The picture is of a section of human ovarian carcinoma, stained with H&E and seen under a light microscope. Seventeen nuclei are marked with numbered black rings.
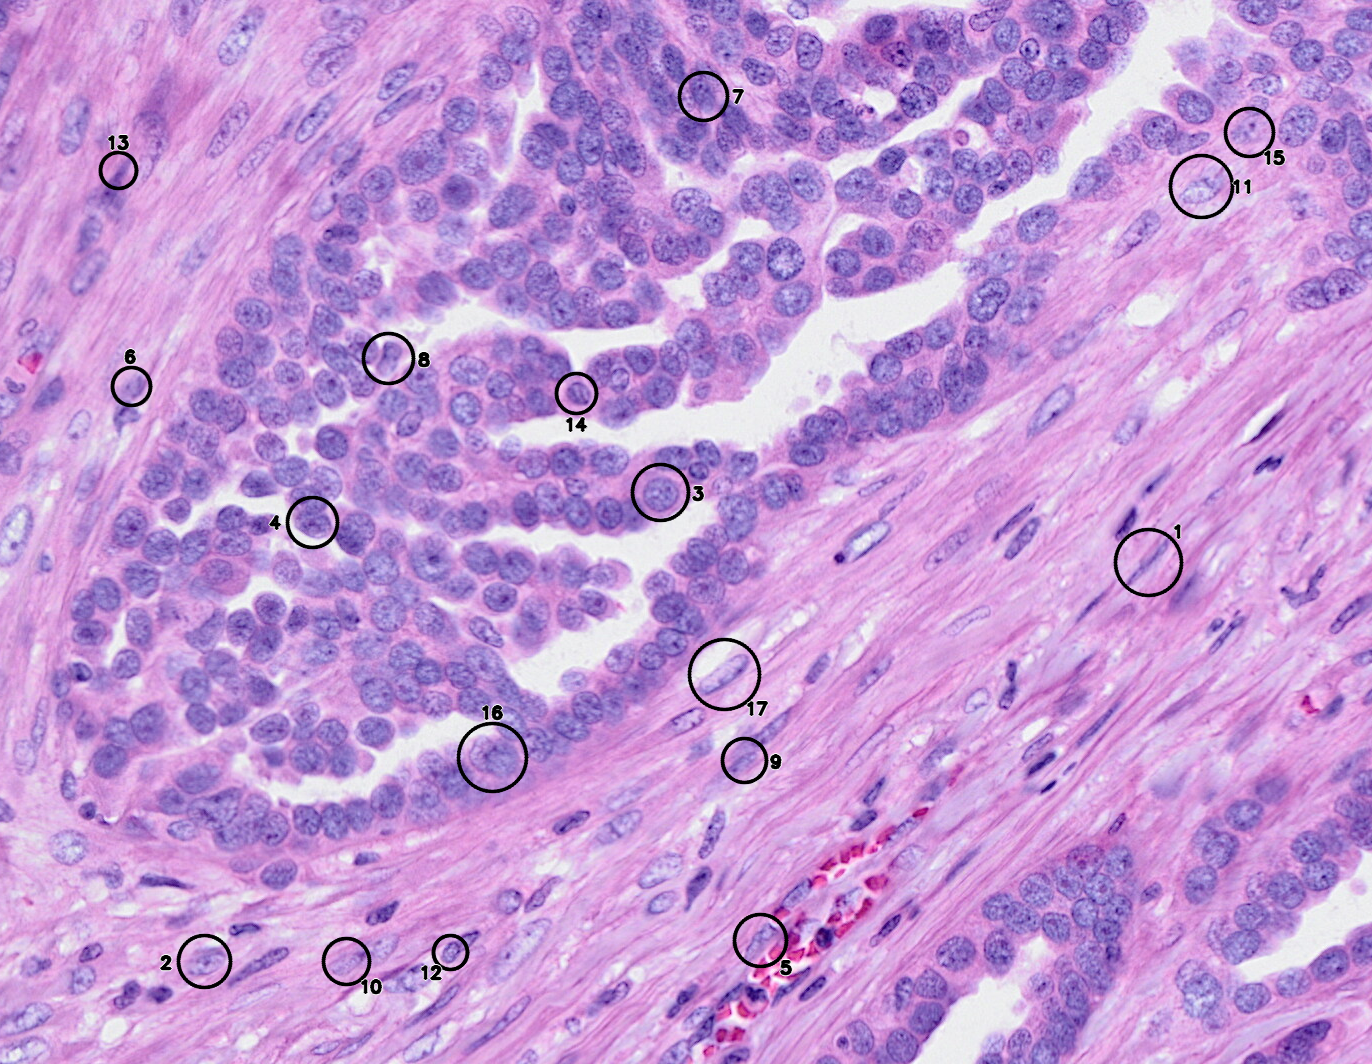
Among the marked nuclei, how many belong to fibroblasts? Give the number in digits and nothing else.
9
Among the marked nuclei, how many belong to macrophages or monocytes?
3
